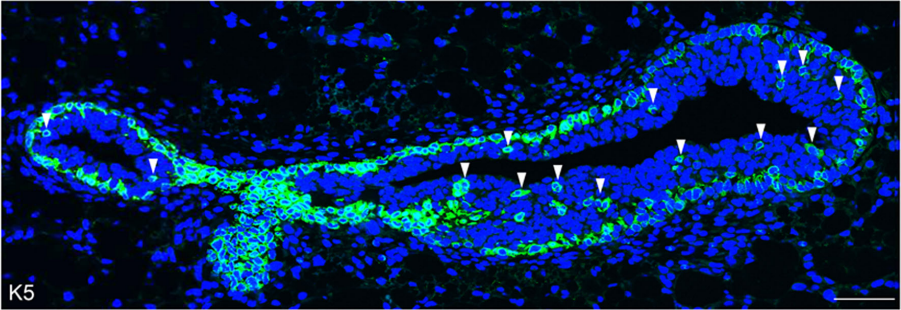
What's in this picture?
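This is a long mammary duct ending in bulbous, multilayered terminal end buds, surrounded by loose stroma with scattered nuclei. Green-outlined cells form a continuous layer along the outer edge of the epithelium, while the many inner cells show mostly blue nuclei only. Here and there a single green-outlined cell lies inside the inner layers.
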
